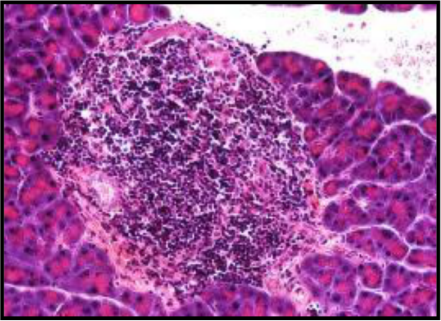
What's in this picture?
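This section of pancreas shows an islet heavily infiltrated by lymphocytes, set among exocrine acinar tissue. The surrounding acini form darker purple-red groups of cells with pink cytoplasm and basal nuclei. In the centre, a rounded region is packed with many small, dark, round nuclei that crowd closely together, giving it a mottled dark purple appearance. Only small scraps of paler tissue remain between these dense cells. The infiltrate fills most of the rounded region and reaches its edges, so the normal pale appearance of the islet is largely lost. Some loose pink stroma lies at its lower margin.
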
